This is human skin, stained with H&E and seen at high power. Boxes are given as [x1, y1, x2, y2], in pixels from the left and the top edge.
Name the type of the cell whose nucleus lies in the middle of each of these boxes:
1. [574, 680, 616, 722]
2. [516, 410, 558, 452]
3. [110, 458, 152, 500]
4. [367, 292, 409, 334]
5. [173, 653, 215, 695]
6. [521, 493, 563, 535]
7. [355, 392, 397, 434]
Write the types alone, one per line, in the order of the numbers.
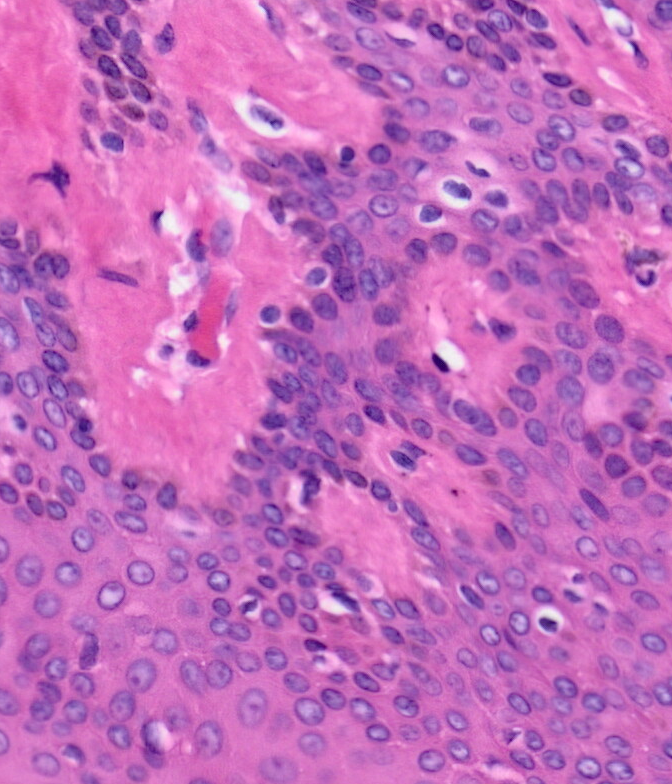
suprabasal keratinocyte
suprabasal keratinocyte
basal keratinocyte
basal keratinocyte
suprabasal keratinocyte
suprabasal keratinocyte
basal keratinocyte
